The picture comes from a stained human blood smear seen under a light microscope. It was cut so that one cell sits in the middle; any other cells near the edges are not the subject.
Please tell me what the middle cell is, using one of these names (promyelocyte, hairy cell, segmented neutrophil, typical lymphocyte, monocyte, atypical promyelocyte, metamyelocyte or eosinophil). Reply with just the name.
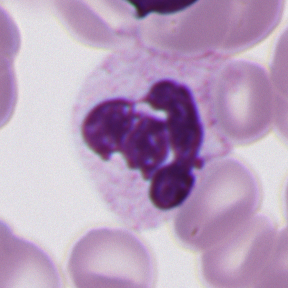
segmented neutrophil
